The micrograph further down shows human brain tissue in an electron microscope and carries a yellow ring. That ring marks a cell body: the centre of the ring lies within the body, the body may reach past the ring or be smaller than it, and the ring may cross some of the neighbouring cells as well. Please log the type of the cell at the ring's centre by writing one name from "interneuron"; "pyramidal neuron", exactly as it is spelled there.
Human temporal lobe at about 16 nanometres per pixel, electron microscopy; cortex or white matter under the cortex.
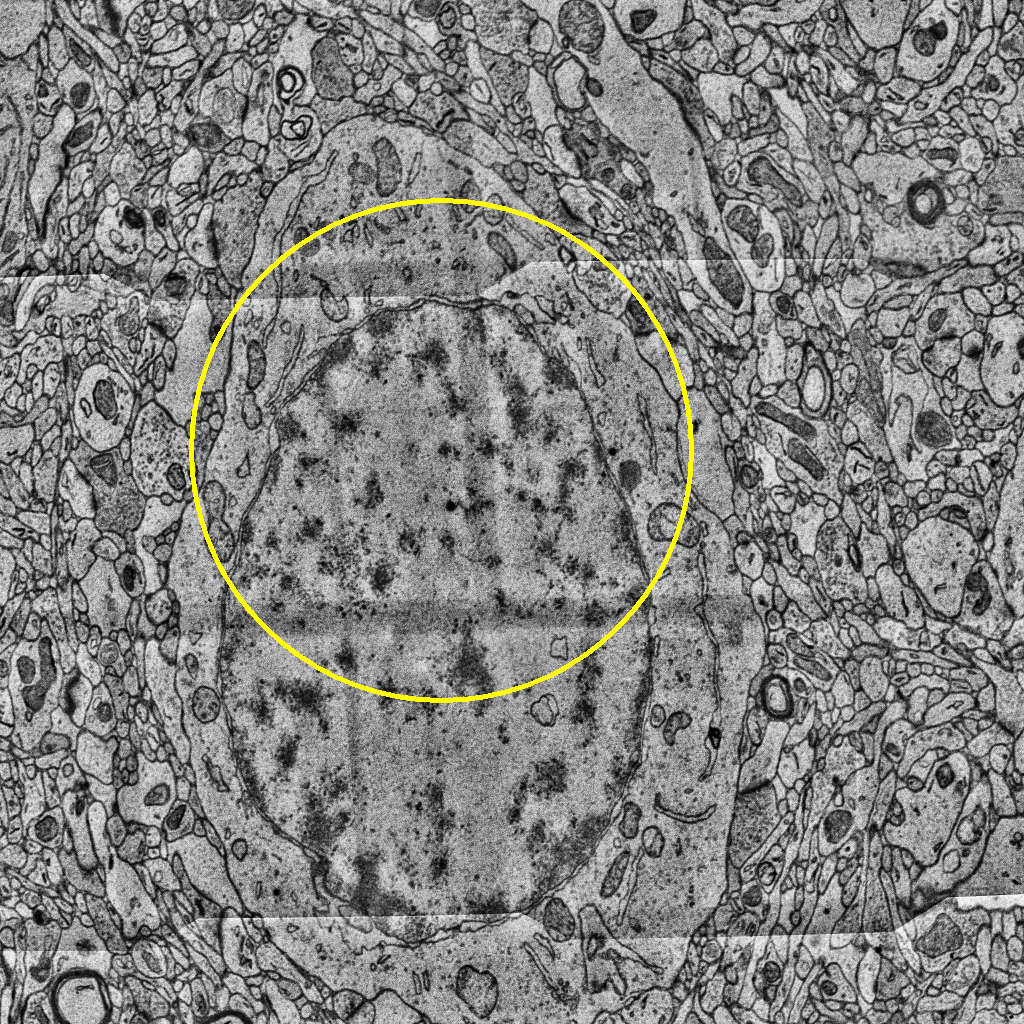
interneuron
